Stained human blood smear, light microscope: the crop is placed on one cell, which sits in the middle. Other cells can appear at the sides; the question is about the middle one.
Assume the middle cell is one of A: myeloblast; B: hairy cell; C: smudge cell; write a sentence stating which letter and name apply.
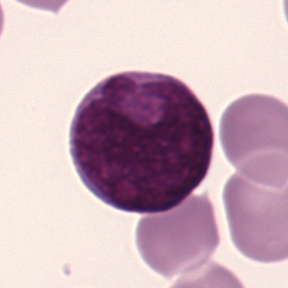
That middle cell is a myeloblast, and option A is therefore correct.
